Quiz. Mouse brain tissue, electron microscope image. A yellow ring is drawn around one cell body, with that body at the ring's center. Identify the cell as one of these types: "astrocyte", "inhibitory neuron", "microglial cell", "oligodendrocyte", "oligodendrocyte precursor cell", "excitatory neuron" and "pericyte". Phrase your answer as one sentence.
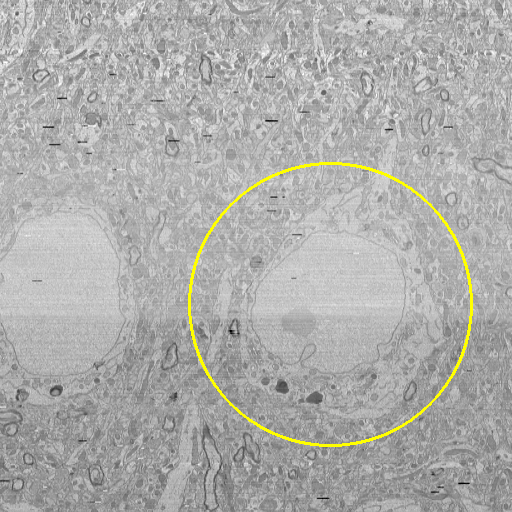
At the center of the ring sits an excitatory neuron.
